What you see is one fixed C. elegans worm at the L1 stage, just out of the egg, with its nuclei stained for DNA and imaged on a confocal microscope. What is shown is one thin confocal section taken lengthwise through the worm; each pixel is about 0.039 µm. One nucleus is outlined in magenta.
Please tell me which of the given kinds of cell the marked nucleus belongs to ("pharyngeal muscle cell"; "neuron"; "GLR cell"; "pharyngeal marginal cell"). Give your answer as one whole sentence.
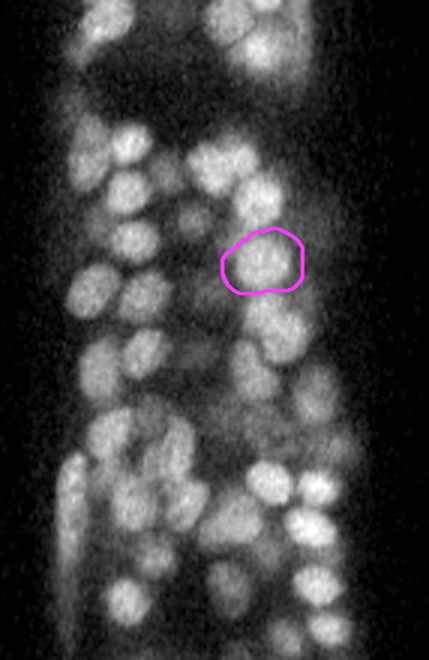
This nucleus is from a neuron.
